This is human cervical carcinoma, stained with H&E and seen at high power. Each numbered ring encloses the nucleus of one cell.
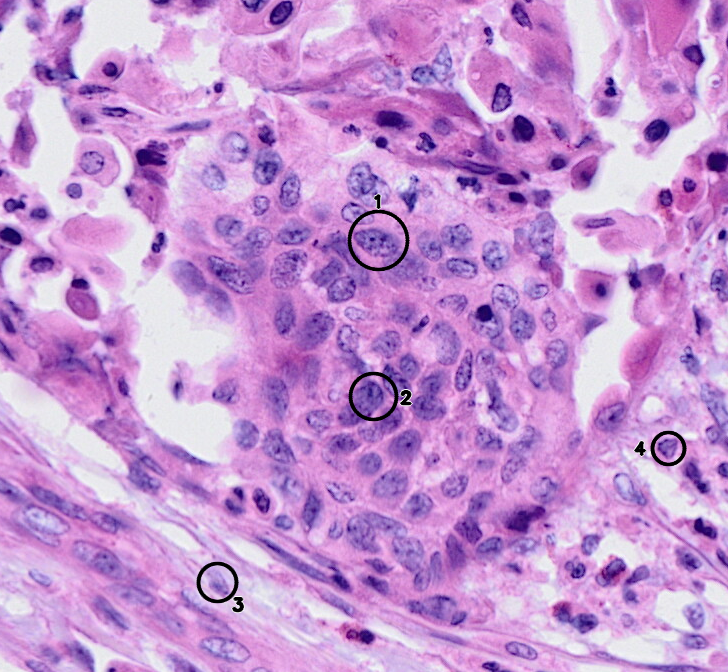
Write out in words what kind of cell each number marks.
Cell 1 is a squamous carcinoma cell, cell 2 is a squamous carcinoma cell, cell 3 is a fibroblast and cell 4 is a macrophage or monocyte.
